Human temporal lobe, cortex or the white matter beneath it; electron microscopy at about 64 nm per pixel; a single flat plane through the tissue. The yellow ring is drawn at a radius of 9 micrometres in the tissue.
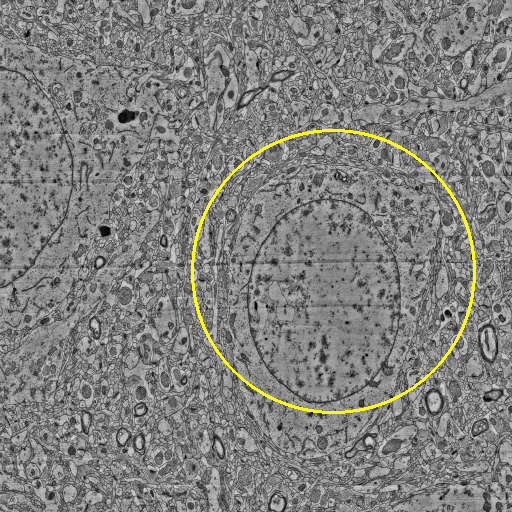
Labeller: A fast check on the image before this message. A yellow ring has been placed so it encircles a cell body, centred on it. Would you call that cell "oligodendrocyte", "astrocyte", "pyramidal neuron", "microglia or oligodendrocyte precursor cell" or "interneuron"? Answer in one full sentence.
In this image, a pyramidal neuron is the cell on which the yellow ring is centred.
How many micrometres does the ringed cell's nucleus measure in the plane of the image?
In this plane the nucleus is about 13 micrometres by 10.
